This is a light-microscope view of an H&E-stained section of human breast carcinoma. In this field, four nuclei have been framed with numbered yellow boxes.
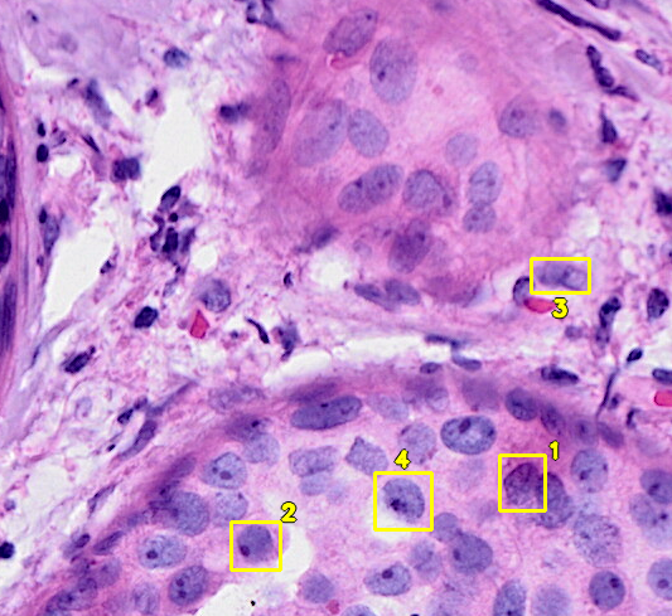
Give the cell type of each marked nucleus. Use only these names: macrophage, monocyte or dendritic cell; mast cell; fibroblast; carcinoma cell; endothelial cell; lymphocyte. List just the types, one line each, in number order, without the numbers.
carcinoma cell
carcinoma cell
endothelial cell
carcinoma cell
